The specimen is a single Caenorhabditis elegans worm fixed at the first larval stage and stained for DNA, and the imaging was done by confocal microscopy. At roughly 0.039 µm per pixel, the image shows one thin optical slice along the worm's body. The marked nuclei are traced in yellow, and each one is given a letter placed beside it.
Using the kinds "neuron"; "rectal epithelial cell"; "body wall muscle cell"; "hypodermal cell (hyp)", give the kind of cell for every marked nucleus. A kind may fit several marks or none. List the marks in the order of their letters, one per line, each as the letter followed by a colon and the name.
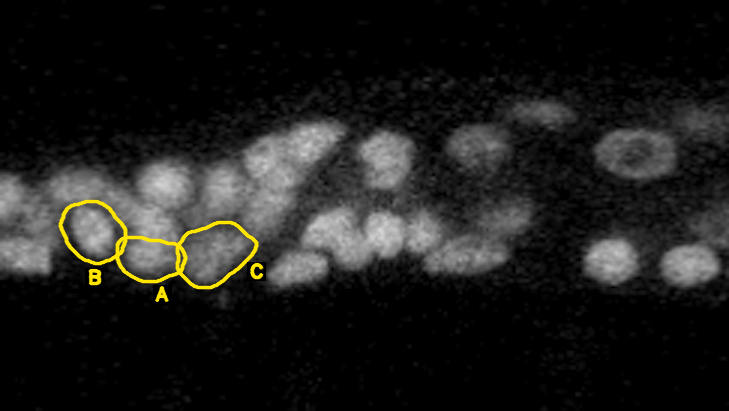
A: body wall muscle cell
B: neuron
C: rectal epithelial cell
